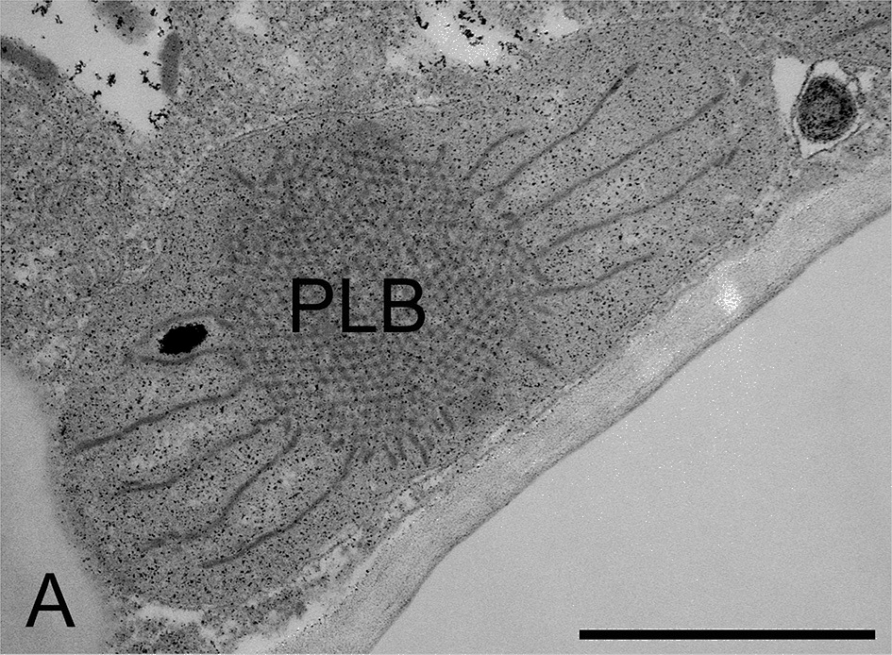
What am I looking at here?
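Long, thin, flat membrane sheets radiate outward from the lattice into the finely granular stroma, which is dotted with small dark particles. A small, very electron-dense inclusion lies beside the lattice, and the organelle lies close to the cell wall at the lower right.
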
